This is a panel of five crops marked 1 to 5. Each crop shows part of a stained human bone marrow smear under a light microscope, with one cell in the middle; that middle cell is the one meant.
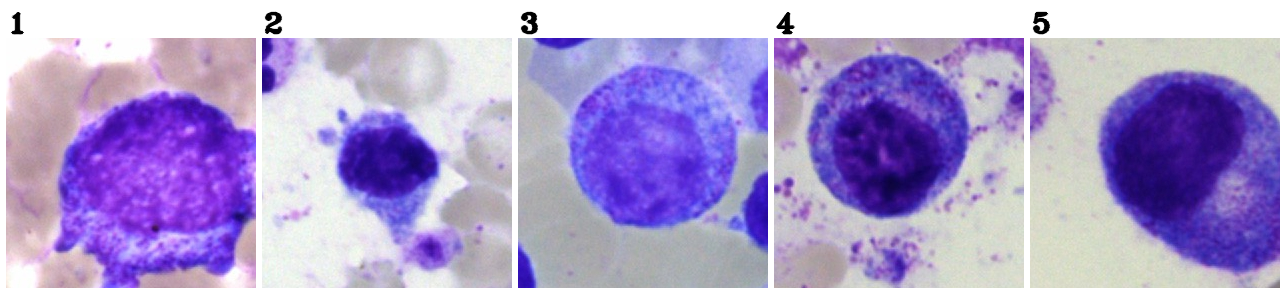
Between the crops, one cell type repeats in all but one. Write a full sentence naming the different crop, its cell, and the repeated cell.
Where the others show promyelocytes, crop 2 shows a monocyte.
